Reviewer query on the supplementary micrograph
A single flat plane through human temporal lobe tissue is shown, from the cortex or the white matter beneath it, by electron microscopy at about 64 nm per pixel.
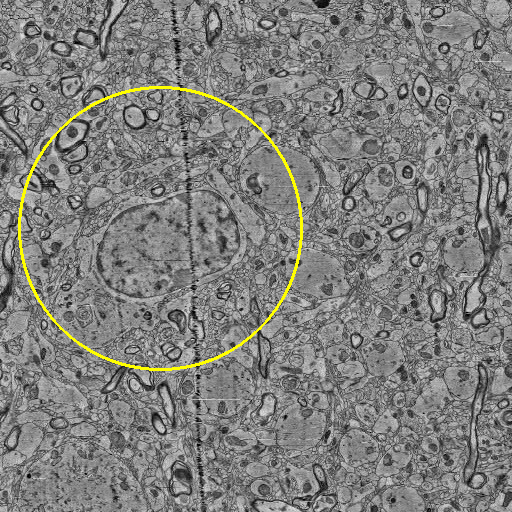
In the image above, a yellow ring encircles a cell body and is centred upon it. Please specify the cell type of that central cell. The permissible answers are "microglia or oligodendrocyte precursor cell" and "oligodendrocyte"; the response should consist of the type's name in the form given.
microglia or oligodendrocyte precursor cell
